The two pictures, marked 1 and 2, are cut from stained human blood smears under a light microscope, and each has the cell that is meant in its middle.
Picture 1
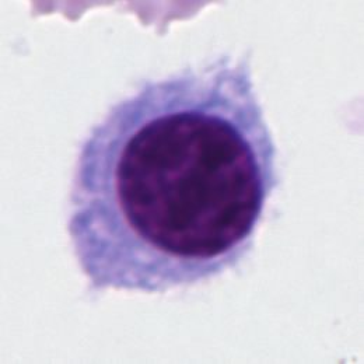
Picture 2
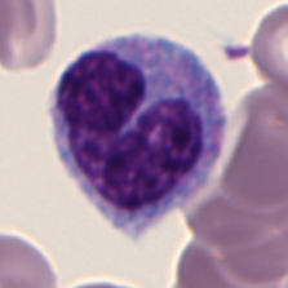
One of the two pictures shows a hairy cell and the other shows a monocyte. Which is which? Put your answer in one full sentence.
Picture 2 shows a monocyte, while picture 1 shows a hairy cell.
